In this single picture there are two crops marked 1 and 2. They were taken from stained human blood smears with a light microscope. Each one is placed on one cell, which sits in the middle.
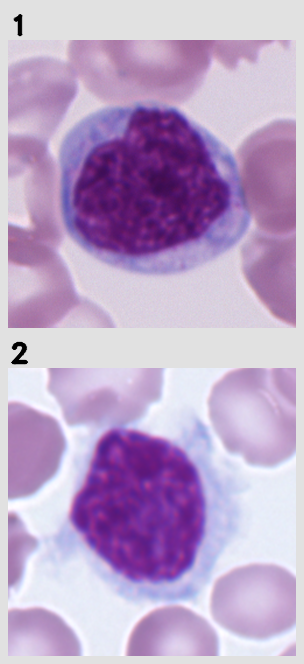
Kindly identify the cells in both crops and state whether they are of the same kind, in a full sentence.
No, crop 1 holds a monocyte, and a hairy cell occupies crop 2.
